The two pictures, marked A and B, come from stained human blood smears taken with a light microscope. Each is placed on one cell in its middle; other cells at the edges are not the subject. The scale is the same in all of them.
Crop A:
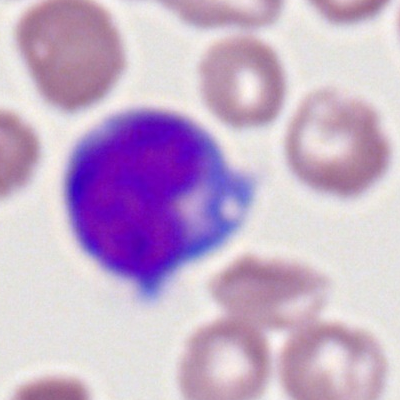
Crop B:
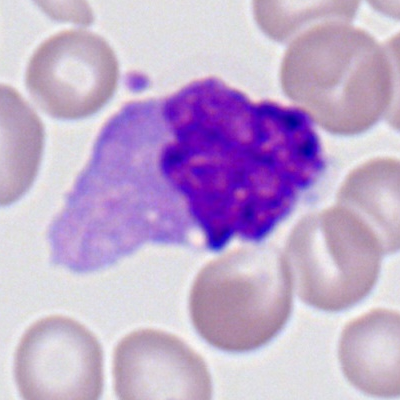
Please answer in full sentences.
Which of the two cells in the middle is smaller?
The cell in crop A is smaller; the one in crop B has about 1.5 times its area.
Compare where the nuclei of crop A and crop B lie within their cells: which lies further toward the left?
In crop A the nucleus is shifted more toward the left.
